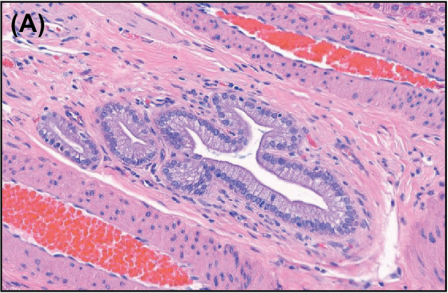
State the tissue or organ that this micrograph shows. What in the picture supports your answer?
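Large bile duct. A branching lumen lined by a single layer of columnar epithelium. The duct lies in connective tissue next to blood vessels filled with red cells.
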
